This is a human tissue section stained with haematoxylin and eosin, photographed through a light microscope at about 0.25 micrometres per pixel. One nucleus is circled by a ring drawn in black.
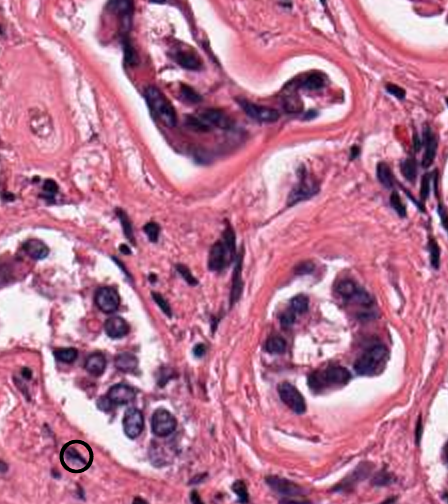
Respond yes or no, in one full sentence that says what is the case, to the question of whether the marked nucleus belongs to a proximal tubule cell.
No, it is a supporting cell, not a proximal tubule cell, to which the marked nucleus belongs.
